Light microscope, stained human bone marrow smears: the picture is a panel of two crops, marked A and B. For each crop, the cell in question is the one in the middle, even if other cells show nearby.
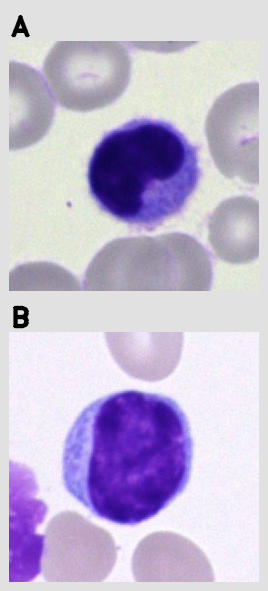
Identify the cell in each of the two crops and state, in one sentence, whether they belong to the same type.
Yes, in the middle of both crops lie lymphocytes.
